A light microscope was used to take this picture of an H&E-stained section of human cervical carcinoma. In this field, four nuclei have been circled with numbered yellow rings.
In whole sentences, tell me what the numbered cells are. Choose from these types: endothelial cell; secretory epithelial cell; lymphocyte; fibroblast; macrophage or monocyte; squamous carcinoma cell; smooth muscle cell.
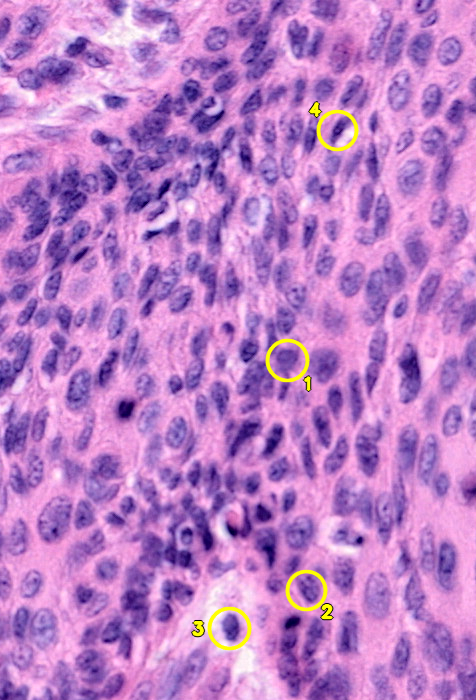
Cell 1 is a squamous carcinoma cell, cell 2 is a squamous carcinoma cell, cell 3 is a lymphocyte and cell 4 is a squamous carcinoma cell.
